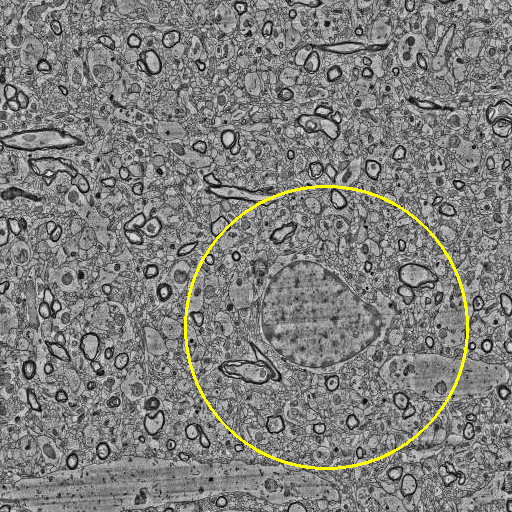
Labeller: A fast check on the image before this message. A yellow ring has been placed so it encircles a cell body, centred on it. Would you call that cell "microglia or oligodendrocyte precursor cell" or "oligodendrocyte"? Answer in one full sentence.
In this image, a microglial cell or oligodendrocyte precursor cell is the cell on which the yellow ring is centred.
